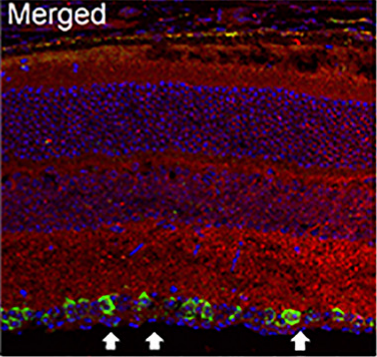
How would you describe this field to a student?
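A cross-section of retina shows its stacked layers: a thick band of densely packed blue nuclei of the outer nuclear layer, a thinner inner nuclear layer, a wide plexiform band between, and a single innermost row of cells at the bottom. Red labelling is bright across nearly all layers, including the plexiform bands and nuclear layers. In the innermost row, round cell bodies are rimmed in green around blue nuclei, with red overlapping some of them, giving yellowish tones. These are ganglion cell somas in the ganglion cell layer. A yellow-green streak runs along the outer segment region at the top.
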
